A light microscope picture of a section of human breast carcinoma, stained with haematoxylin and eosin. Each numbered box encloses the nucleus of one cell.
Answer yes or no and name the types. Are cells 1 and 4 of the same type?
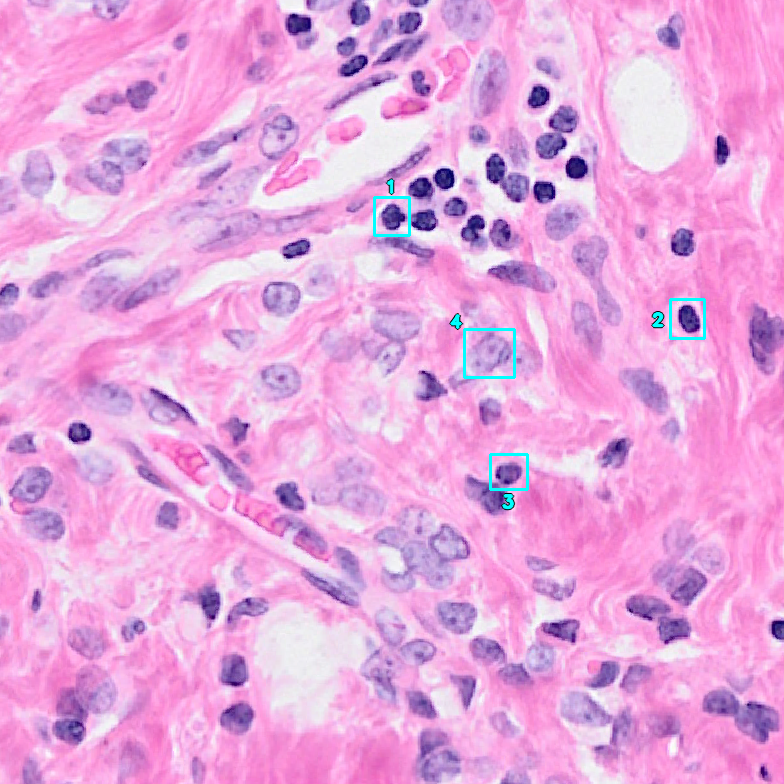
No, the identities are a lymphocyte for cell 1 and a carcinoma cell for cell 4.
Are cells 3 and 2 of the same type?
Yes, the numbered cells 3 and 2 are both lymphocytes.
